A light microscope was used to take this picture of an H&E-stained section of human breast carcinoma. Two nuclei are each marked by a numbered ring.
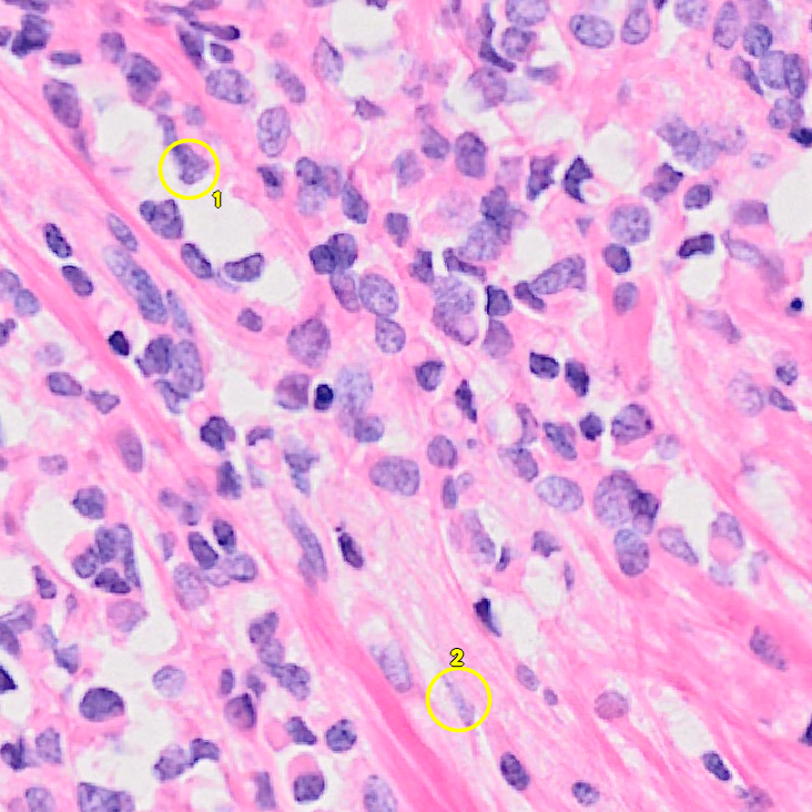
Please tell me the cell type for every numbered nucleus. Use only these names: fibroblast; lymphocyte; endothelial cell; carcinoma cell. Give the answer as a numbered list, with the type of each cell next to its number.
1. carcinoma cell
2. fibroblast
